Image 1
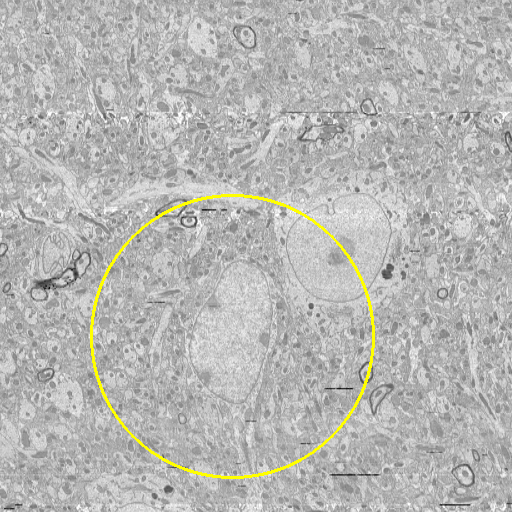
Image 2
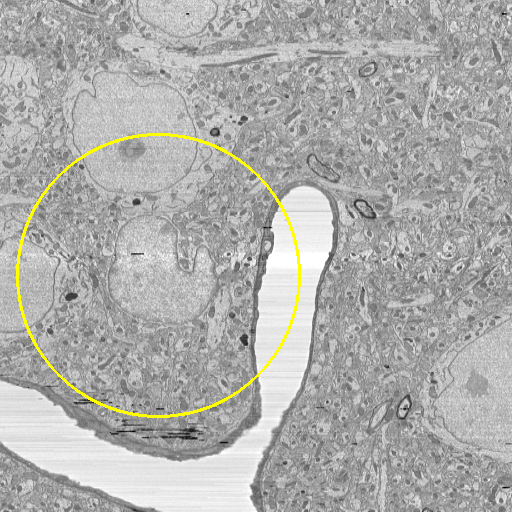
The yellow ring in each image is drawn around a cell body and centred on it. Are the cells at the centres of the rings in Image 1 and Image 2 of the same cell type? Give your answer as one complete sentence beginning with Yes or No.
Yes, both cells are of the same type.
